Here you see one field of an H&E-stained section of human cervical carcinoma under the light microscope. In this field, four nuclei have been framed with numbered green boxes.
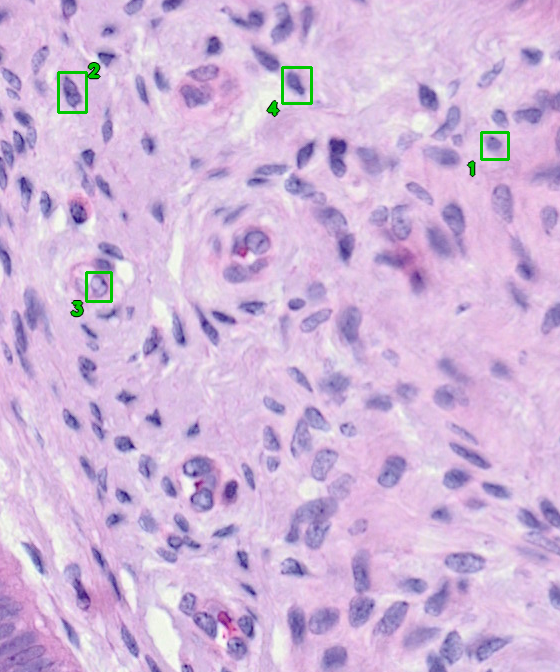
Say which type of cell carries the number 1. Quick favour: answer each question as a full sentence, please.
In the tissue shown, cell 1 is a fibroblast.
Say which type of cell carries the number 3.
Cell 3 is classified as an endothelial cell.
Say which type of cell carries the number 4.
In the marked set, the cell given number 4 is a fibroblast.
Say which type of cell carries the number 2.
In the marked set, the cell given number 2 is a fibroblast.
